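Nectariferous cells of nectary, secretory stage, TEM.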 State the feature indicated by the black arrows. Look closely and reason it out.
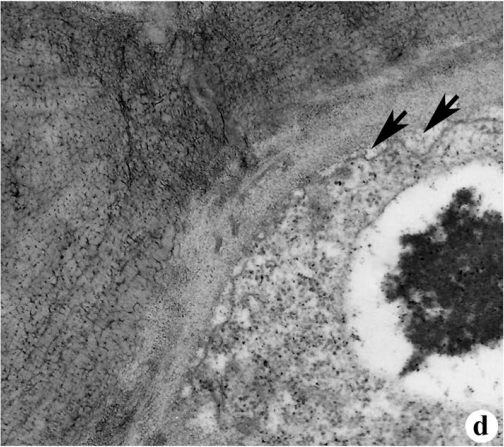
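Arrows point to small round pale bodies at the border between cytoplasm and the thick wall.
Conclusion: vesicular structures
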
